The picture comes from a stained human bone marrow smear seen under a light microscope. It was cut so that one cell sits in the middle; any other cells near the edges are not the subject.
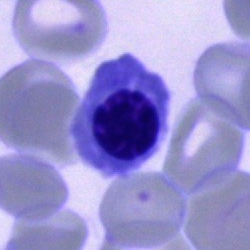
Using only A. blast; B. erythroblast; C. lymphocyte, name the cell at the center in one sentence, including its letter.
Option B gets it right: the cell in the middle is an erythroblast.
